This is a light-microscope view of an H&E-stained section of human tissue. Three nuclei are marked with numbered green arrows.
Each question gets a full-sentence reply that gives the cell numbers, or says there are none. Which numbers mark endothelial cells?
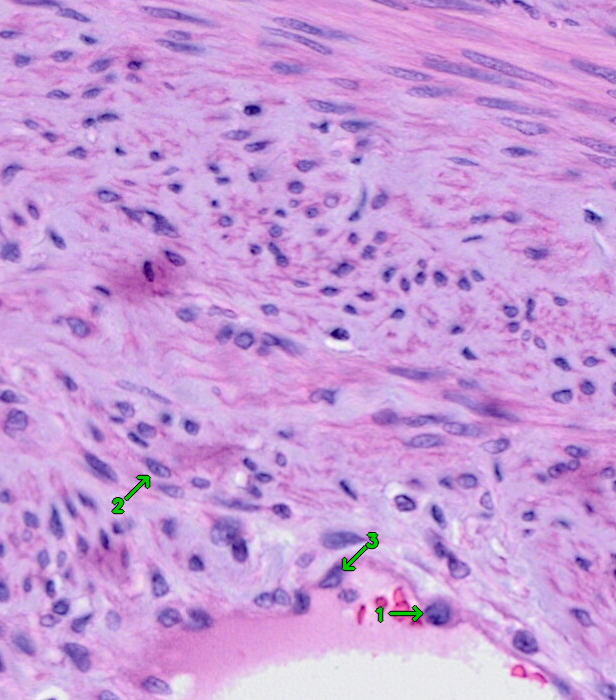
In short, the numbered cells 1 and 3 are endothelial cells.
